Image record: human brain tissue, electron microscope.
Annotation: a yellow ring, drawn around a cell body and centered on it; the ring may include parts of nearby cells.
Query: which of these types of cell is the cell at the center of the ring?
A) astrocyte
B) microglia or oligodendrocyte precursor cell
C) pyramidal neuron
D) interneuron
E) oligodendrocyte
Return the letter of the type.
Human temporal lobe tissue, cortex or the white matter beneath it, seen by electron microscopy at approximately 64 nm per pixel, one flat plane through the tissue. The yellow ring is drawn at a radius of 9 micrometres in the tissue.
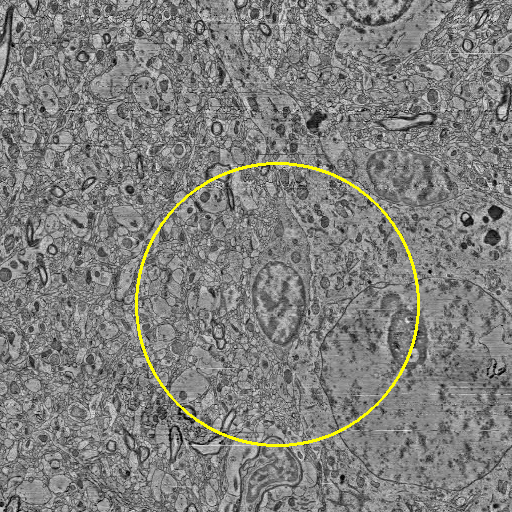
E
